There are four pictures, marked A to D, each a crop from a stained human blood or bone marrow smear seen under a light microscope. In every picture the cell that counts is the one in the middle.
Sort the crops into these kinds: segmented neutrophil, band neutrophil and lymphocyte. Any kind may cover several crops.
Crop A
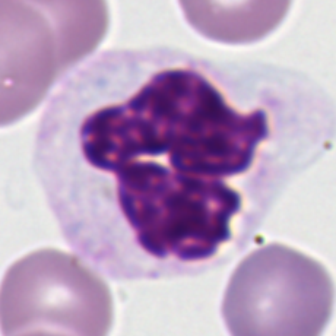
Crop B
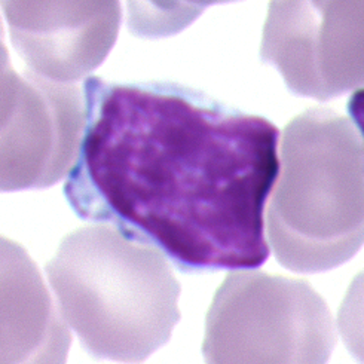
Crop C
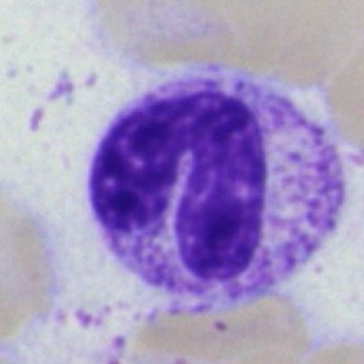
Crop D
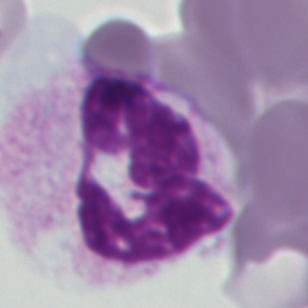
A: segmented neutrophil
B: lymphocyte
C: band neutrophil
D: segmented neutrophil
